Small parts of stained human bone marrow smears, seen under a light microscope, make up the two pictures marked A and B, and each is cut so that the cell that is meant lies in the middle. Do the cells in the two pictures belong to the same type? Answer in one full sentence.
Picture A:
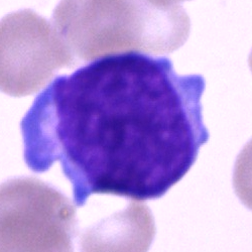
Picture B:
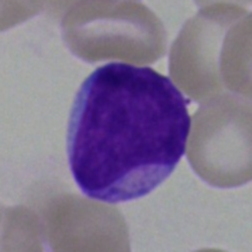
Yes; the cells in both pictures are blasts.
